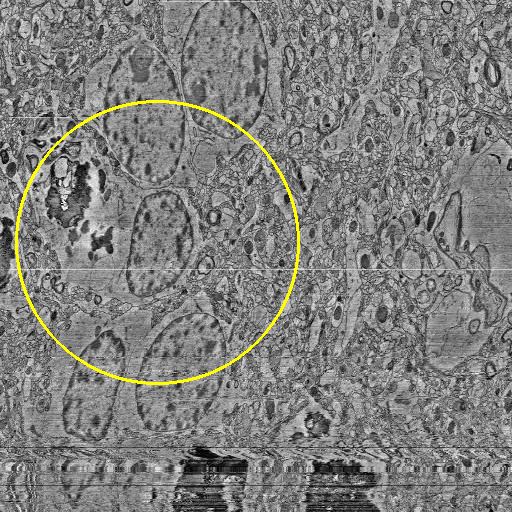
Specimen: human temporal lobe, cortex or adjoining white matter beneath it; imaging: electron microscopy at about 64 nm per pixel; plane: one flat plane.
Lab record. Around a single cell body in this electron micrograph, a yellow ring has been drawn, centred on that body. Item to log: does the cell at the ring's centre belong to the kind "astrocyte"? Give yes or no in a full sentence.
Yes, in the micrograph, the ringed cell at the centre belongs to that kind.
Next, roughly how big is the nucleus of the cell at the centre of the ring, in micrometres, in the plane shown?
About 7 by 4 micrometers in this plane, so the nucleus is clearly longer than it is wide.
